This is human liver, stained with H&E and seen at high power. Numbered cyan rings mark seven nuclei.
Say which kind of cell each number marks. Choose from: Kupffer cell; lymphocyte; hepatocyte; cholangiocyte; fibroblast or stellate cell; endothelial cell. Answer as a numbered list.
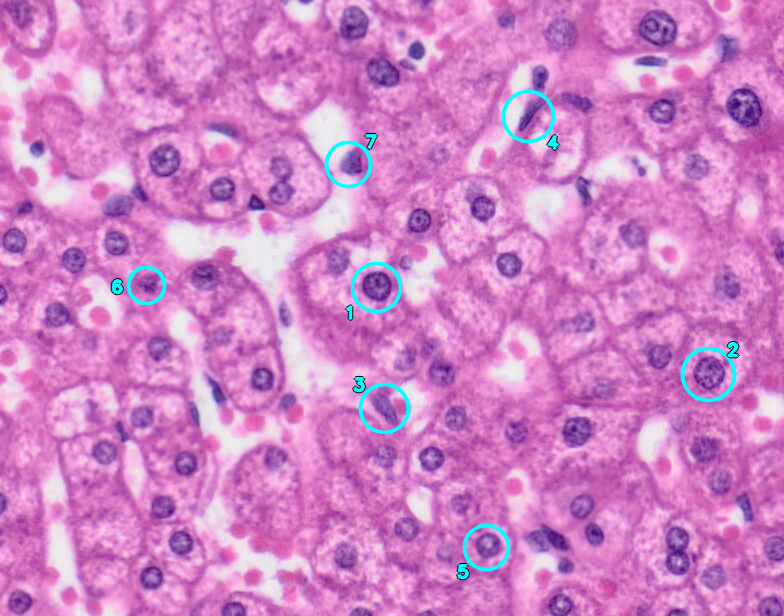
1. hepatocyte
2. hepatocyte
3. Kupffer cell
4. Kupffer cell
5. hepatocyte
6. fibroblast or stellate cell
7. endothelial cell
